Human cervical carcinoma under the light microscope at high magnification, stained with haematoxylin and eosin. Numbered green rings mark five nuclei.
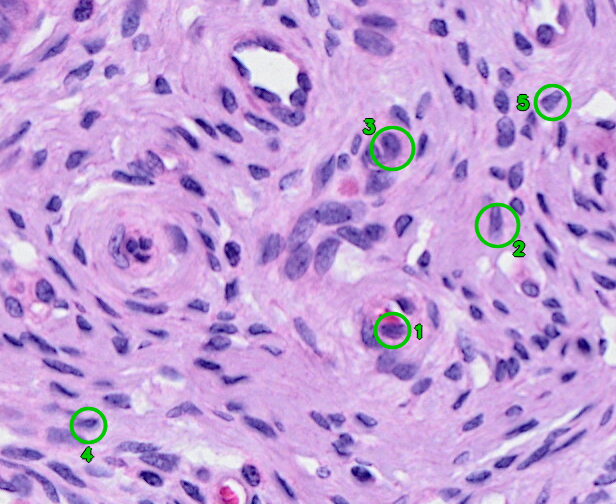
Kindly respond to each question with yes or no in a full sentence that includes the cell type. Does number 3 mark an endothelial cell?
Yes, that is so; number 3 marks an endothelial cell.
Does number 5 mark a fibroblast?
Yes, in this section the cell with number 5 is a fibroblast.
